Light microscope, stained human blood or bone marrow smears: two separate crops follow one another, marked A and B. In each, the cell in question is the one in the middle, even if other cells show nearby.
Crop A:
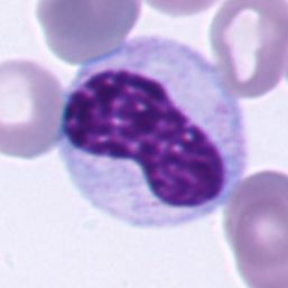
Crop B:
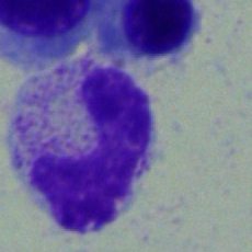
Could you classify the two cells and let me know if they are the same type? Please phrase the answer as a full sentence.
Yes, as shown in both crops, the central cells are band neutrophils.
